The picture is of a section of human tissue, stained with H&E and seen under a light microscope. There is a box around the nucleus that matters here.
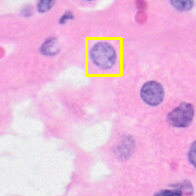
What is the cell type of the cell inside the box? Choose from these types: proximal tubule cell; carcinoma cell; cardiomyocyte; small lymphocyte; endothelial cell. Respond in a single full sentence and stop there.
In the context of this tissue, the cell inside the box is a proximal tubule cell.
